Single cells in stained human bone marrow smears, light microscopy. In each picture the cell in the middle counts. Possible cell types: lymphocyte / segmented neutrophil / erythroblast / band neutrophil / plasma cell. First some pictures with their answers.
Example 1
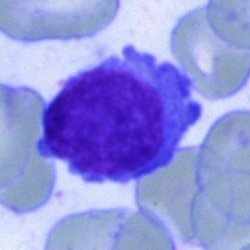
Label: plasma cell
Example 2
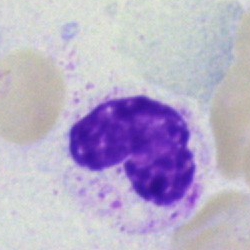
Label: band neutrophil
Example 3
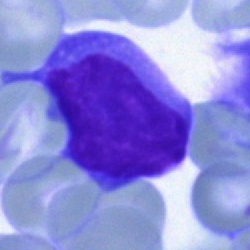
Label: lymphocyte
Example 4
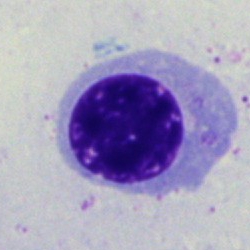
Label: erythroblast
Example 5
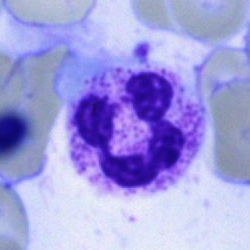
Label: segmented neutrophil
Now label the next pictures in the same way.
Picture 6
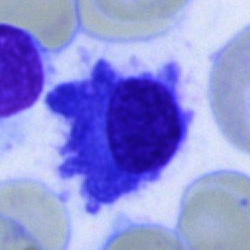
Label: plasma cell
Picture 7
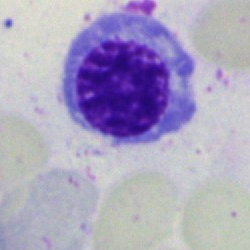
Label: erythroblast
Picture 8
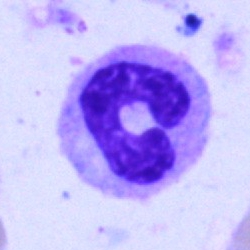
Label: band neutrophil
